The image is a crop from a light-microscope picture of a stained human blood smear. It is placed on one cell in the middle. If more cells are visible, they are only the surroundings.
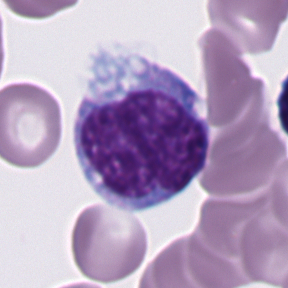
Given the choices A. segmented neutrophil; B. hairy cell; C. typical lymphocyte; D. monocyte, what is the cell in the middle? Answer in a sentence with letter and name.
Since the cell in the centre is a monocyte, the correct option is D.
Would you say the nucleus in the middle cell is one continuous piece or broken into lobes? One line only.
There is one compact nucleus, and its shape is round, oval or kidney-like.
